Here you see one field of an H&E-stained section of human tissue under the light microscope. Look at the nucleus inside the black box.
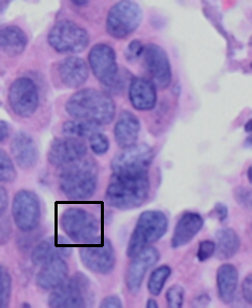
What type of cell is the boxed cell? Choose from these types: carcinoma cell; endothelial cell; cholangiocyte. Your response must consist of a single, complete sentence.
The cell type of the boxed cell is that of a carcinoma cell.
